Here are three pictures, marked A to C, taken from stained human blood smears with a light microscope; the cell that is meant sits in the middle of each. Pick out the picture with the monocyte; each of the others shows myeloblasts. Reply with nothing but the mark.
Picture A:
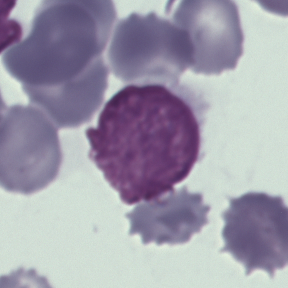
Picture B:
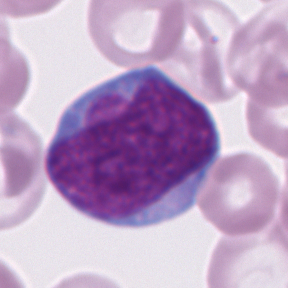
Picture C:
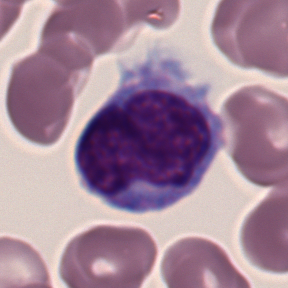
C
